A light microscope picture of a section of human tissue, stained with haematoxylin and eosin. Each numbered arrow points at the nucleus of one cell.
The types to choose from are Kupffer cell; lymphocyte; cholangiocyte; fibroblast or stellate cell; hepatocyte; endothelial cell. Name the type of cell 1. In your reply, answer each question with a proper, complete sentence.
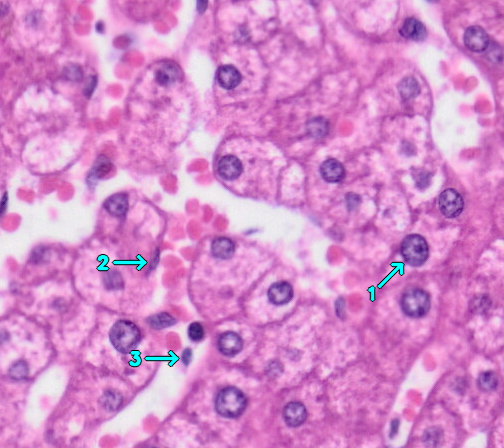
Cell 1, as marked in the section, is a hepatocyte.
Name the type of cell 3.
The cell that carries the label 3 is a lymphocyte.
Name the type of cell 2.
In this section, the cell tagged 2 is an endothelial cell.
